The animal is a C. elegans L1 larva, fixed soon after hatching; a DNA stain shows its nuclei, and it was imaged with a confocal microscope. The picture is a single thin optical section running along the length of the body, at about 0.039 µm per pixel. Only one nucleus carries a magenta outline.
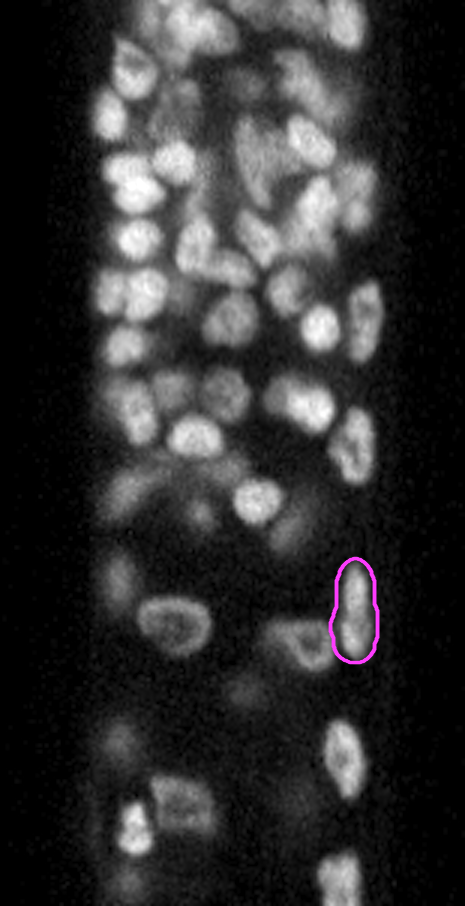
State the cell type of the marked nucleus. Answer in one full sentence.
It belongs to a body wall muscle cell.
